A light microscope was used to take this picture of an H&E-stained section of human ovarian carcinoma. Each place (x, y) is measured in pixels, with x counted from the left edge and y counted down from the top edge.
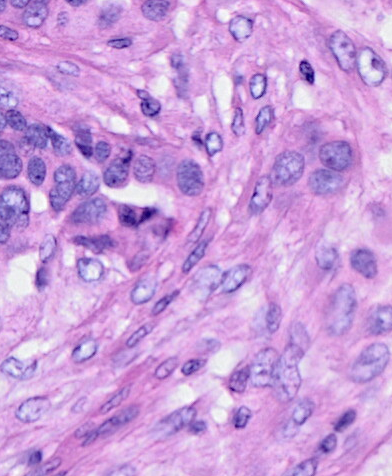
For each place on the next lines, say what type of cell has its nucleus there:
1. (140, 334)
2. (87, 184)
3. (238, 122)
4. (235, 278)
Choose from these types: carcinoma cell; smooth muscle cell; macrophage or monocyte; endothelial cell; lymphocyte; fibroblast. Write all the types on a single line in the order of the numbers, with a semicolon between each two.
fibroblast; carcinoma cell; fibroblast; fibroblast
